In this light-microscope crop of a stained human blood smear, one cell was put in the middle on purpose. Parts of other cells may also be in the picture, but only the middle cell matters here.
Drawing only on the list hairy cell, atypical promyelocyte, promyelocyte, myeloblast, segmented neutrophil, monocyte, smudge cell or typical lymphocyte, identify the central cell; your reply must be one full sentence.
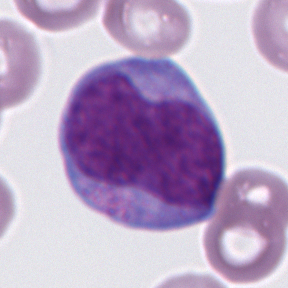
In this smear crop, the middle cell is an atypical promyelocyte.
